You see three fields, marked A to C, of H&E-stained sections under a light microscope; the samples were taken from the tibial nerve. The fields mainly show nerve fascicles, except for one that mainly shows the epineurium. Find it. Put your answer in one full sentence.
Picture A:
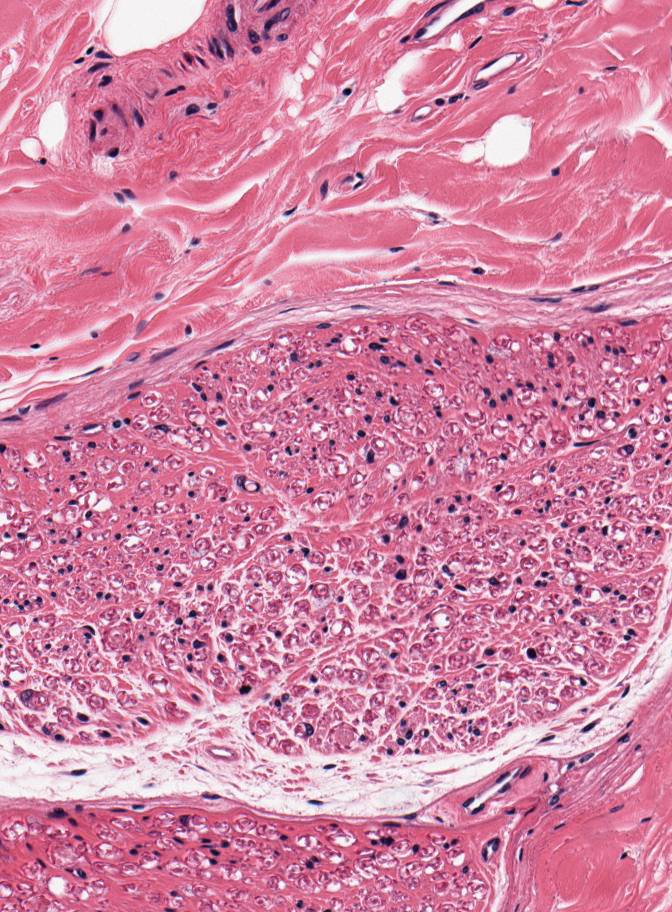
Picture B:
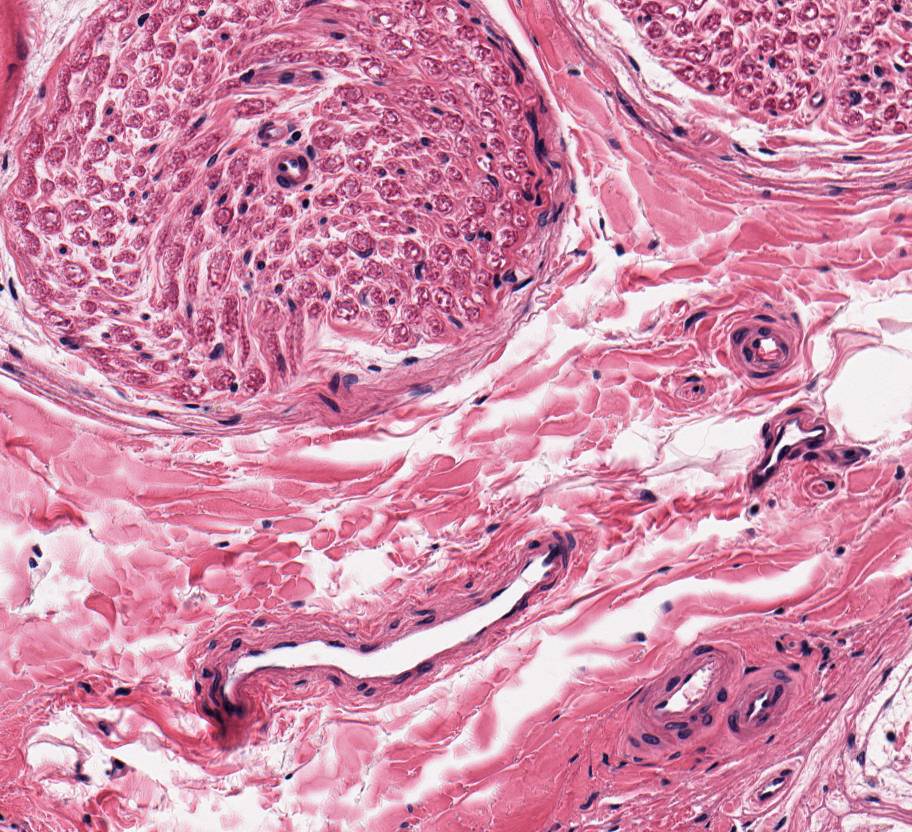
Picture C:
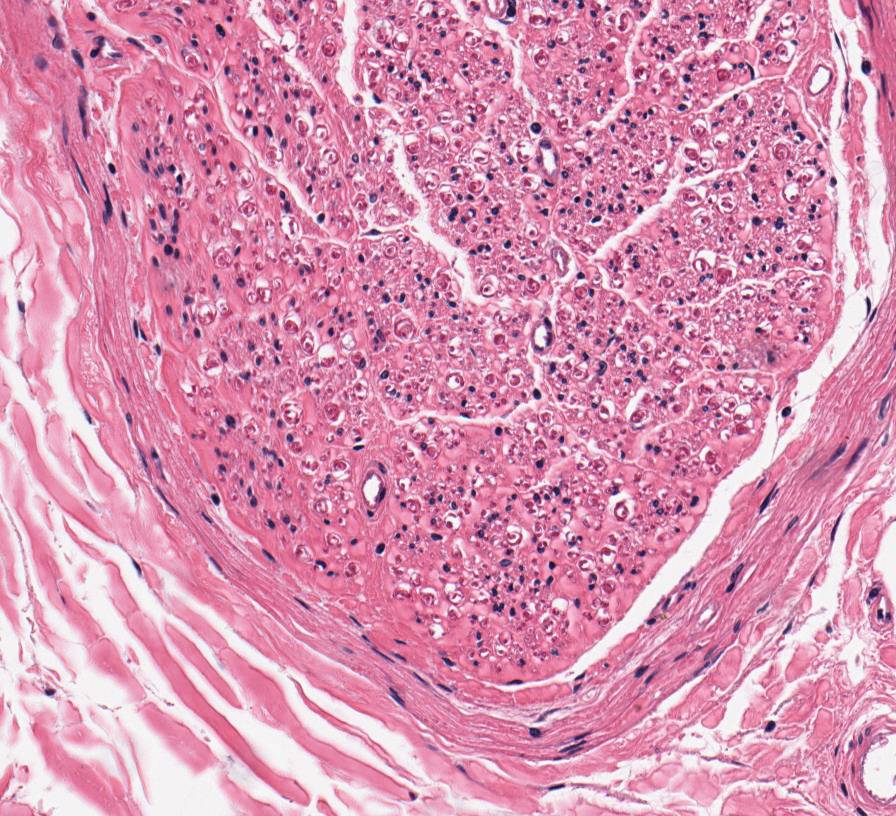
It is picture B that mainly shows the epineurium.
